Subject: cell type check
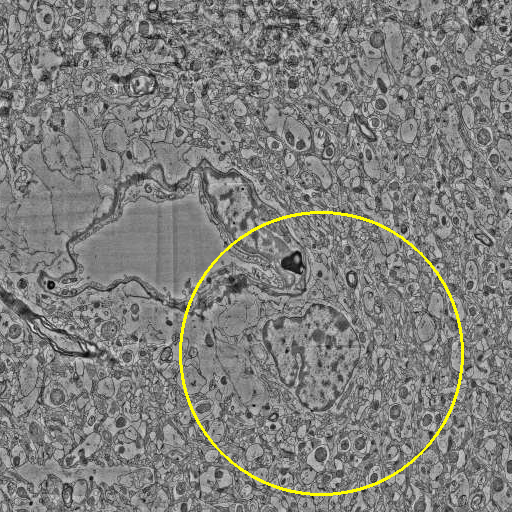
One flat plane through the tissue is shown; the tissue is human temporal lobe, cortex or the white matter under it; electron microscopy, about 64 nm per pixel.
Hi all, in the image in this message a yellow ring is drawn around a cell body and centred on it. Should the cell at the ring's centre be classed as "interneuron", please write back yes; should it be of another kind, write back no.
no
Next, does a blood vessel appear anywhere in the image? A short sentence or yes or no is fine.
Yes, one is visible.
